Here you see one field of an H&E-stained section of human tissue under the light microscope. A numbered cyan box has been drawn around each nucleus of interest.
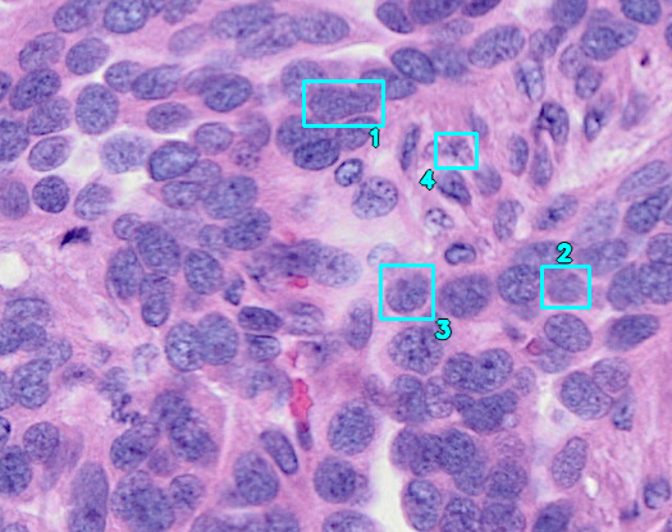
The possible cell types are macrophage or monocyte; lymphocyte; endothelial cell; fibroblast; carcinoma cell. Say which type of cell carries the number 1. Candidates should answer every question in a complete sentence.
Marked with the number 1, this cell is a carcinoma cell.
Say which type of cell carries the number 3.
It is as a carcinoma cell that the cell numbered 3 is identified.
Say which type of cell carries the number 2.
Regarding cell 2, this one is a carcinoma cell.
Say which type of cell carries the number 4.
Cell 4 of the marked set is a fibroblast.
